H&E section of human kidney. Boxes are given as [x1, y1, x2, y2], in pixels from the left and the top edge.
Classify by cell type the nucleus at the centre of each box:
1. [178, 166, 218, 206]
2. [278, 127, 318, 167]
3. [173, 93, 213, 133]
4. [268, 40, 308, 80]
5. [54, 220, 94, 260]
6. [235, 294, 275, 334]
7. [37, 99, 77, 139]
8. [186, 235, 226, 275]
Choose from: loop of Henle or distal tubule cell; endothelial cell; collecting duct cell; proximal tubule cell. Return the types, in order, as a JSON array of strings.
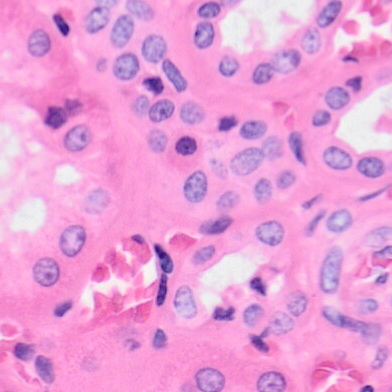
["collecting duct cell", "endothelial cell", "collecting duct cell", "collecting duct cell", "proximal tubule cell", "collecting duct cell", "proximal tubule cell", "collecting duct cell"]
